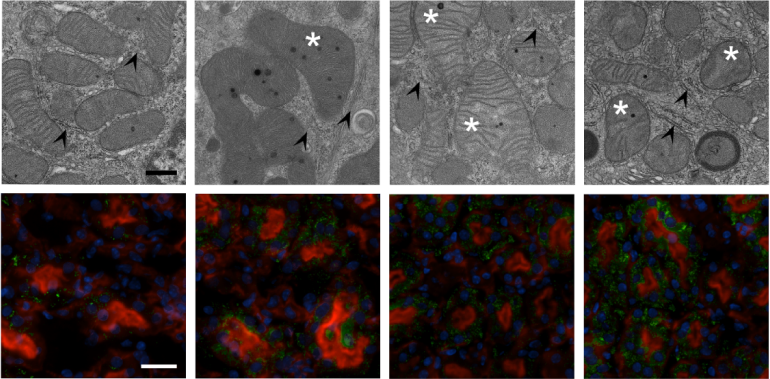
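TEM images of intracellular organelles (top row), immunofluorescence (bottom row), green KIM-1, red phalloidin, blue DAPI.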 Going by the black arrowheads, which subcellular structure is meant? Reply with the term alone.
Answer: intact endoplasmic reticula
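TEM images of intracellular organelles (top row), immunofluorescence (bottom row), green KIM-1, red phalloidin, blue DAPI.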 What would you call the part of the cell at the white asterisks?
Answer: mitochondria with abnormal features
